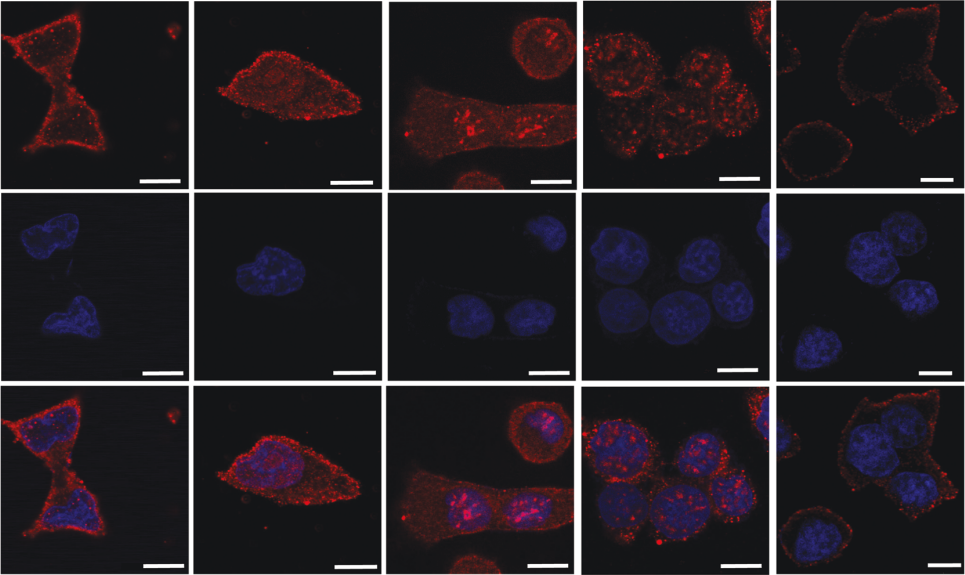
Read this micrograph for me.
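The top row shows the red channel, the middle row the blue nuclei, and the bottom row the two channels overlaid. The red signal forms fine dots that outline the cell margins in most cells. In some cells, red dots and patches also lie over the blue, oval nuclei.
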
